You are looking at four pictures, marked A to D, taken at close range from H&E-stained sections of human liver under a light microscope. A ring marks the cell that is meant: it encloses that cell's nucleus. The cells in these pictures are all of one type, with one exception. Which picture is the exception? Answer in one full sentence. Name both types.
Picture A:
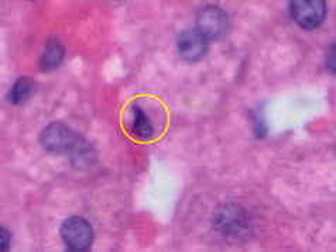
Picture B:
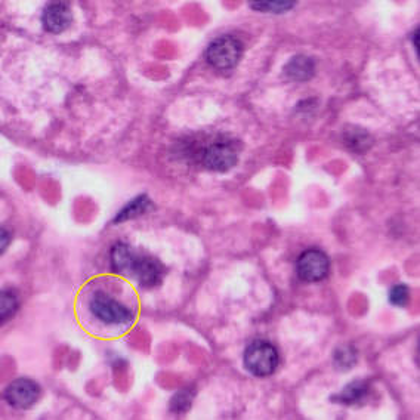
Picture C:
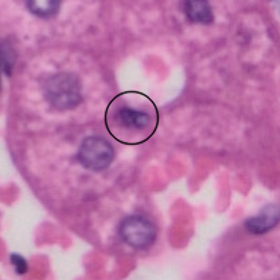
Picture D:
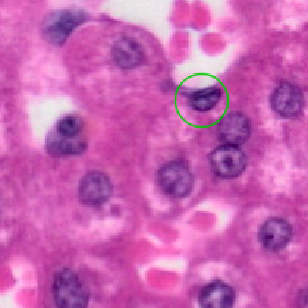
Picture A is the odd one out: it shows an endothelial cell, while the others show “fibroblasts or stellate cells”.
